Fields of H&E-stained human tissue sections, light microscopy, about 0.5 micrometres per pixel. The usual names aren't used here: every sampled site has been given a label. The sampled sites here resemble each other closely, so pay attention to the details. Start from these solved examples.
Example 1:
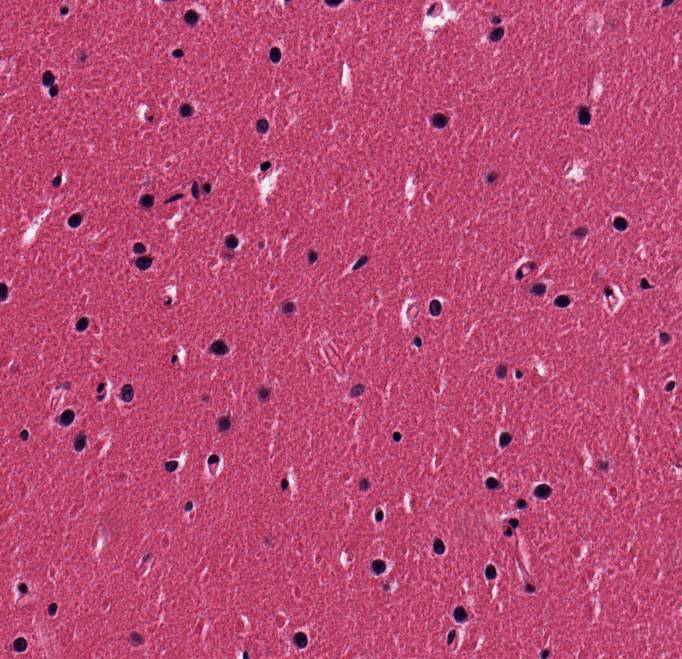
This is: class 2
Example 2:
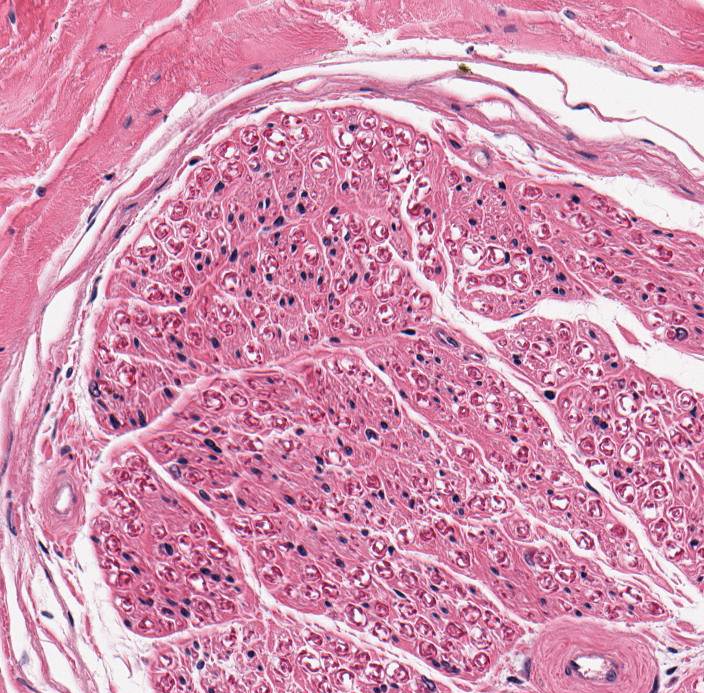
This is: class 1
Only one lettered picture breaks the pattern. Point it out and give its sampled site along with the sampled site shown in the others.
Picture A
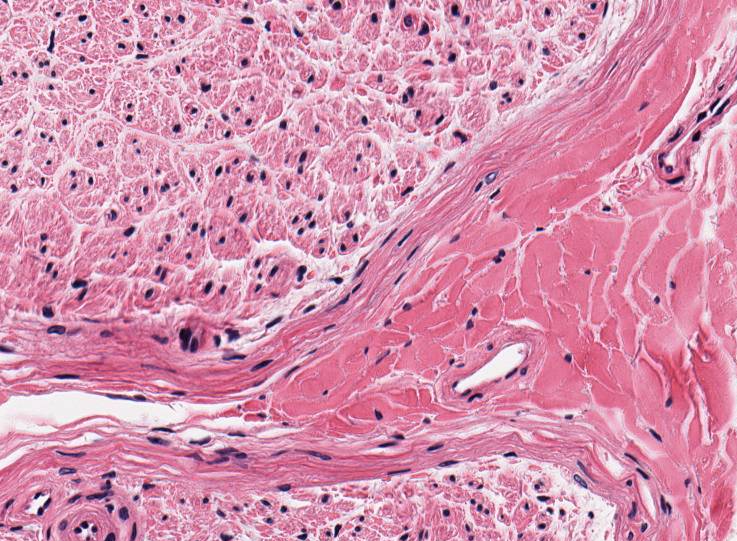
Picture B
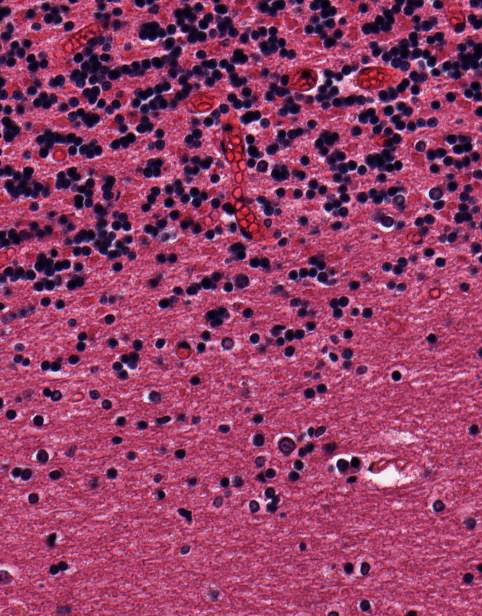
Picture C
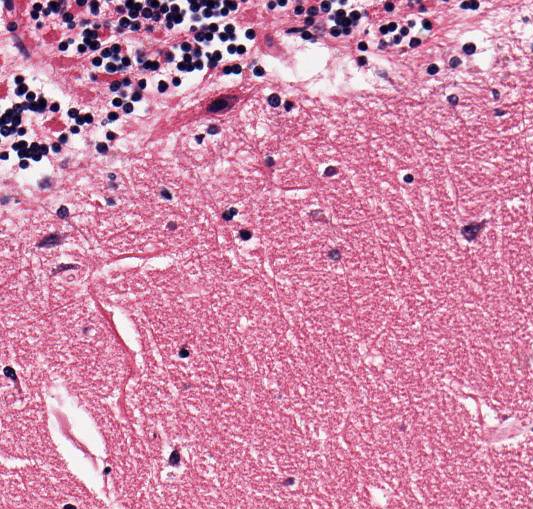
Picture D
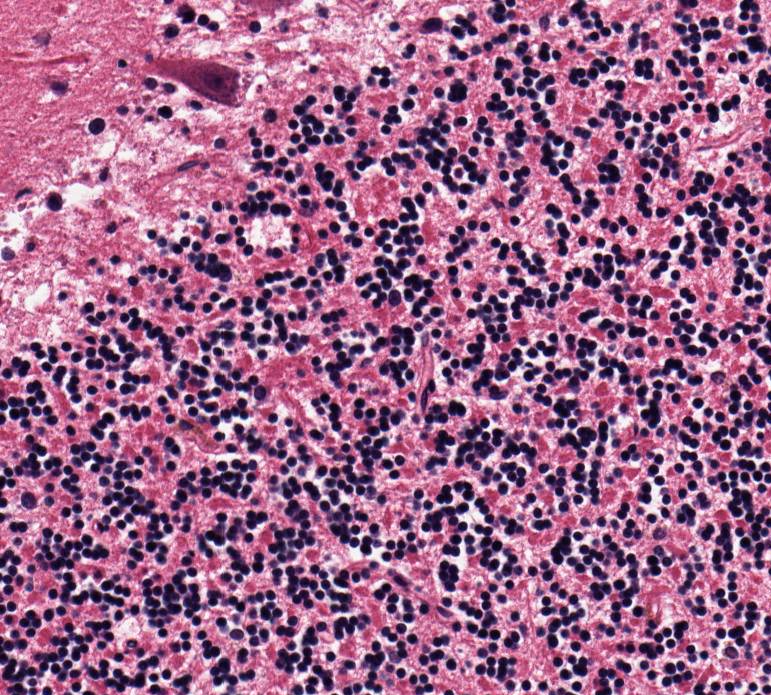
A differs and shows class 1; the others show class 2.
